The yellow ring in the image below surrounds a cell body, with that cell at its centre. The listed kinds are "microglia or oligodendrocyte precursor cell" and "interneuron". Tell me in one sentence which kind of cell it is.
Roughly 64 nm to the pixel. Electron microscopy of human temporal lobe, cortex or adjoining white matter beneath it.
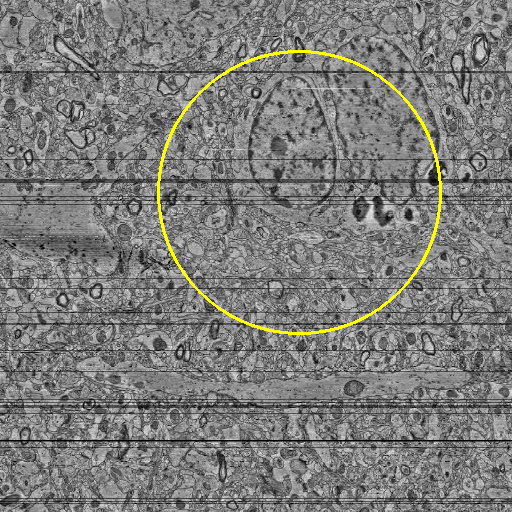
The centre of the ring holds a microglial cell or oligodendrocyte precursor cell.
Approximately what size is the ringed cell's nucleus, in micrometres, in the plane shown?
Roughly 9 micrometres by 6 micrometres, in this plane.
